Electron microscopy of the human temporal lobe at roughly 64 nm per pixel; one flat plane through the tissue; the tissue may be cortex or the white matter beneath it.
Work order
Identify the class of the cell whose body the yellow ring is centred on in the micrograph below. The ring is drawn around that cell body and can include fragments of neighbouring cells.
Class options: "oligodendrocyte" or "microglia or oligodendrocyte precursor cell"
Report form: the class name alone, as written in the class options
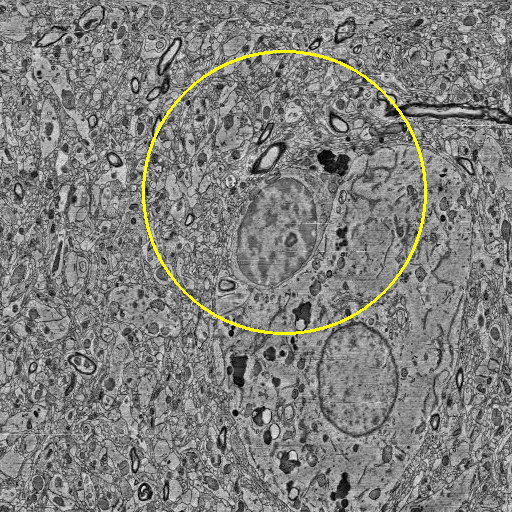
oligodendrocyte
